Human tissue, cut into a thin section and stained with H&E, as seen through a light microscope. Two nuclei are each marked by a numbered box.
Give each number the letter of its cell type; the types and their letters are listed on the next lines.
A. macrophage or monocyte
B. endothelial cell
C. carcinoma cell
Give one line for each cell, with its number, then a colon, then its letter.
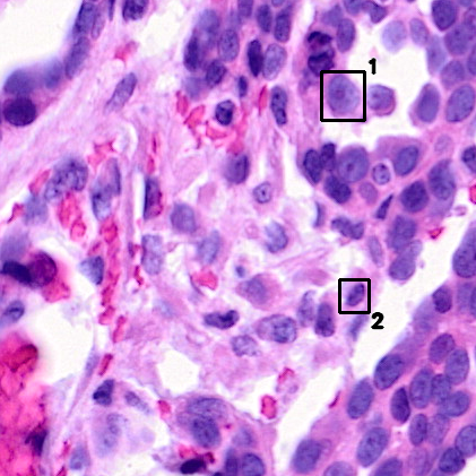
1: C
2: A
